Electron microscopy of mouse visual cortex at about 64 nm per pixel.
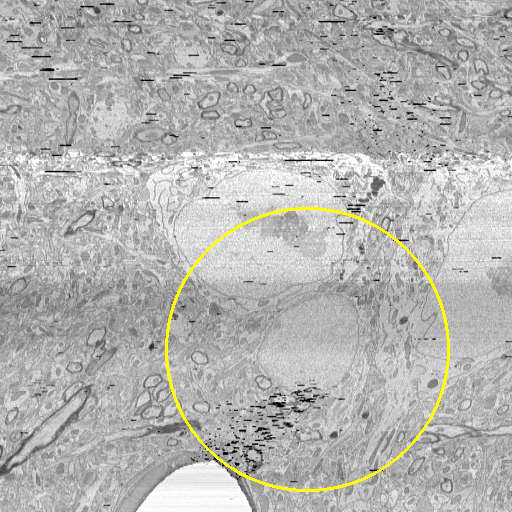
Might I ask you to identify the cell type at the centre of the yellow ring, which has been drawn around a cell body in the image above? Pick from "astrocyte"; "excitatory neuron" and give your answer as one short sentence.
The centre of the ring falls on an astrocyte.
